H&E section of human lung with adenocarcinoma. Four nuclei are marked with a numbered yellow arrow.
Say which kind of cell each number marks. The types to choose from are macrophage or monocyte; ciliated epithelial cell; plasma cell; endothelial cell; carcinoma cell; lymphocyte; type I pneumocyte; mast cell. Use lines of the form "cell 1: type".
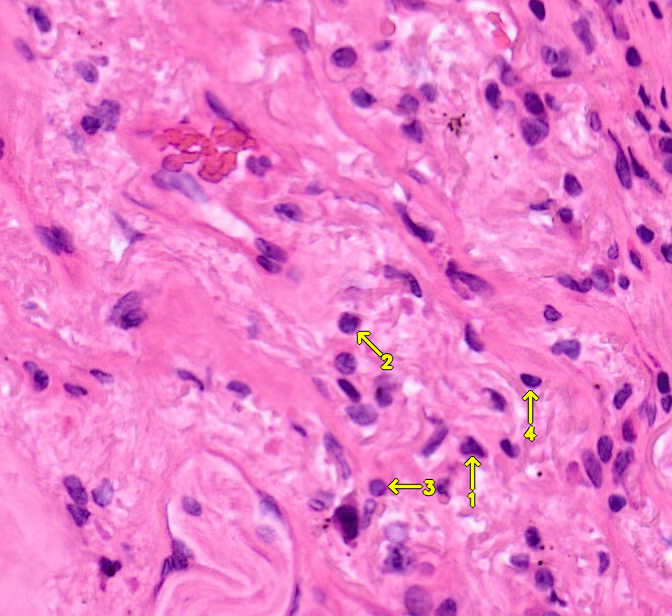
cell 1: plasma cell
cell 2: lymphocyte
cell 3: mast cell
cell 4: lymphocyte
